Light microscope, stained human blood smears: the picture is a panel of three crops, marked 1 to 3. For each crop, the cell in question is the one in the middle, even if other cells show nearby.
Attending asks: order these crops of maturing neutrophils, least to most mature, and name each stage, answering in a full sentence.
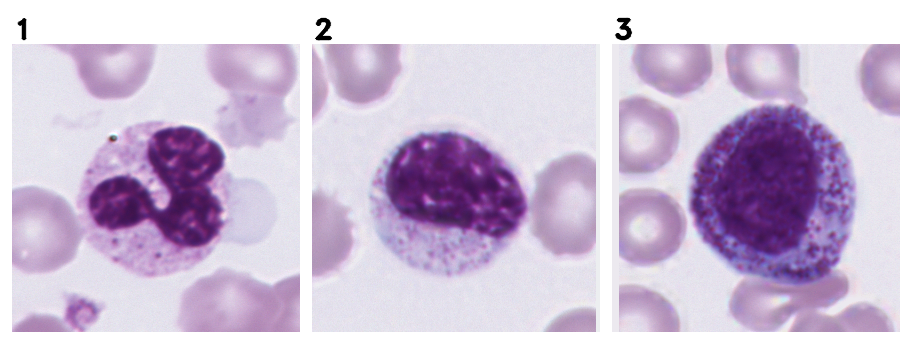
The cells in order of increasing maturity are crop 3 (a promyelocyte), crop 2 (a metamyelocyte) and crop 1 (a segmented neutrophil).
